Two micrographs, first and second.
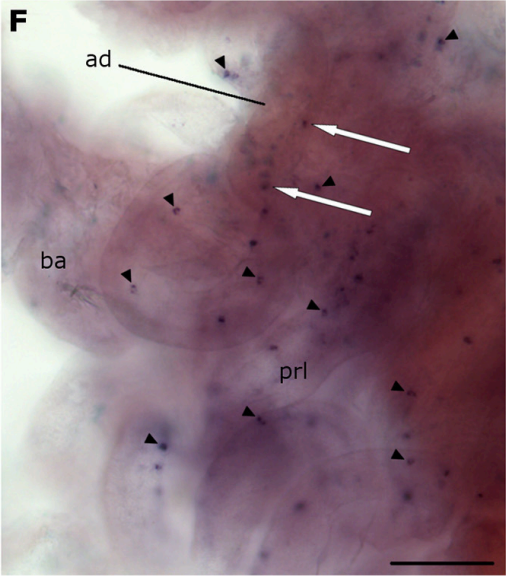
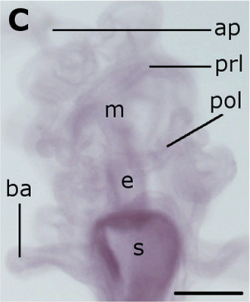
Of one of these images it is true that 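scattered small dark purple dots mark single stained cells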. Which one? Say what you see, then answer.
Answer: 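First image: many small dark purple dots are scattered over the body and along the rims. The answer: the first image.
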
